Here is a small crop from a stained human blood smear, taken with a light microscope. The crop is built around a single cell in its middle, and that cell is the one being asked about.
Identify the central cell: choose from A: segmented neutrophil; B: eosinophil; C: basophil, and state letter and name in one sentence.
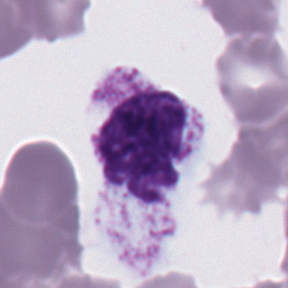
The cell in the centre of the crop is a basophil, so option C is the correct one.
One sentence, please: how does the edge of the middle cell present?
This cell does not have a smooth edge; it is ragged or extended into projections.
